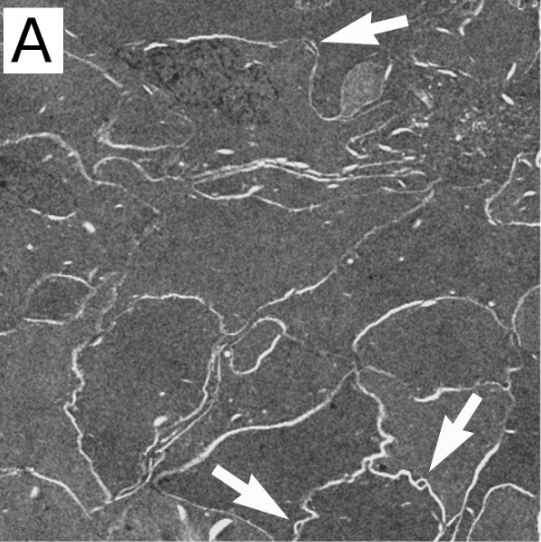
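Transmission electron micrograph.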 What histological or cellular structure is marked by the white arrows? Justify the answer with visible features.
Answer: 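The arrows point at small knob-like folds in the pale membrane lines between neighbouring cells. At these sites one cell's border bulges into a pocket of the neighbouring cell. The answer: 'ball-and-socket' connections.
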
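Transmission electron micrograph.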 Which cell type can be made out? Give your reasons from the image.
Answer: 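Cells with homogeneous grey cytoplasm and few organelles fill the field. The cell borders run as wavy pale lines in no regular parallel order.
Hence: Lens fibres.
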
